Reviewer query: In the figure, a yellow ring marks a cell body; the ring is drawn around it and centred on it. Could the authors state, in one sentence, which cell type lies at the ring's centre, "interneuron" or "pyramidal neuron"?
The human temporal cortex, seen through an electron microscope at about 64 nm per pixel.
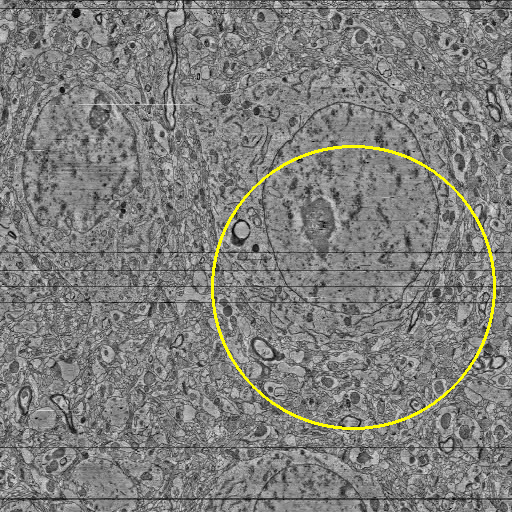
The ring is centred on a pyramidal neuron.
